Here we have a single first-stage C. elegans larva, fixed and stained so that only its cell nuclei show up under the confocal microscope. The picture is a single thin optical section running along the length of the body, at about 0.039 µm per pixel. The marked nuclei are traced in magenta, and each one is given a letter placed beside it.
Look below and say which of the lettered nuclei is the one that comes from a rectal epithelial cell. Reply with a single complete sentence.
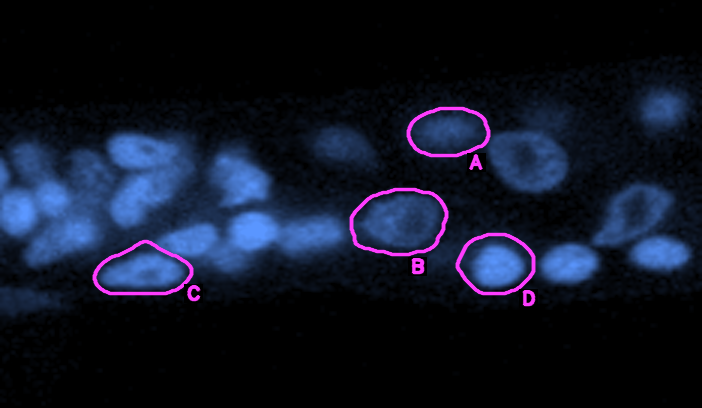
C is the nucleus of a rectal epithelial cell.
